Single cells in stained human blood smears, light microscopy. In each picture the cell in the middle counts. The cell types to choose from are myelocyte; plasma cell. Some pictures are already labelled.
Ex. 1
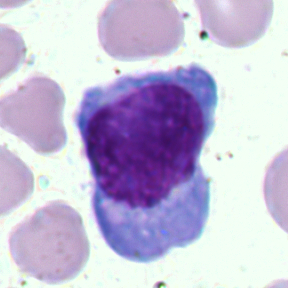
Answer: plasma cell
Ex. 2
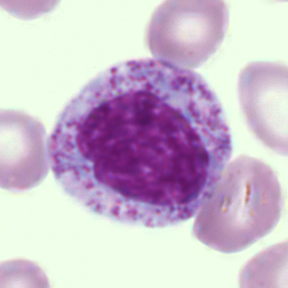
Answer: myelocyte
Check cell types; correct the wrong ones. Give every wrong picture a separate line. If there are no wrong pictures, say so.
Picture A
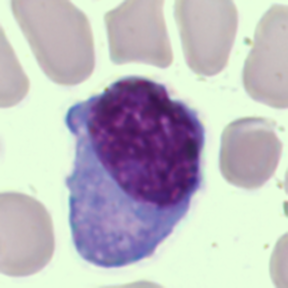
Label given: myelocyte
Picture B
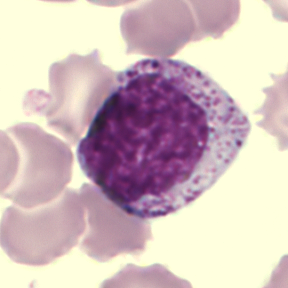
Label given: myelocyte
A: not myelocyte but plasma cell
